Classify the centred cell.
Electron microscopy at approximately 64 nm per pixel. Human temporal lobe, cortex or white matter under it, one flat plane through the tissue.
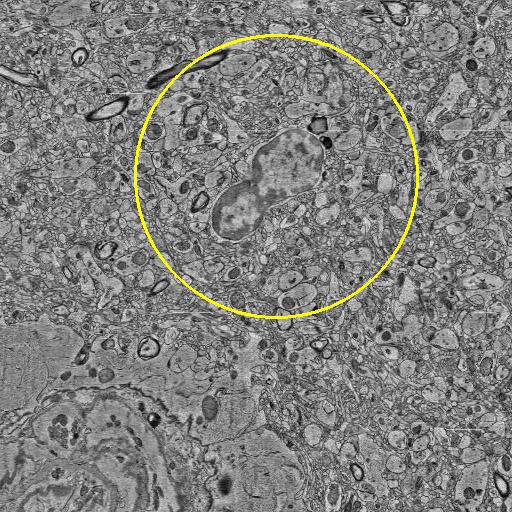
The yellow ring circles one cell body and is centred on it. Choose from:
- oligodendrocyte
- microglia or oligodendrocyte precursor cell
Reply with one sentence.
The ring is centred on a microglial cell or oligodendrocyte precursor cell.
